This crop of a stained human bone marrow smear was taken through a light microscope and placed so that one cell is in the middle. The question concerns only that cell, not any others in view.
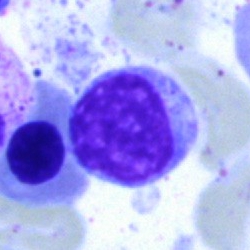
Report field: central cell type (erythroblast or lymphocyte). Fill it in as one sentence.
The centrally located cell in the crop is a lymphocyte.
